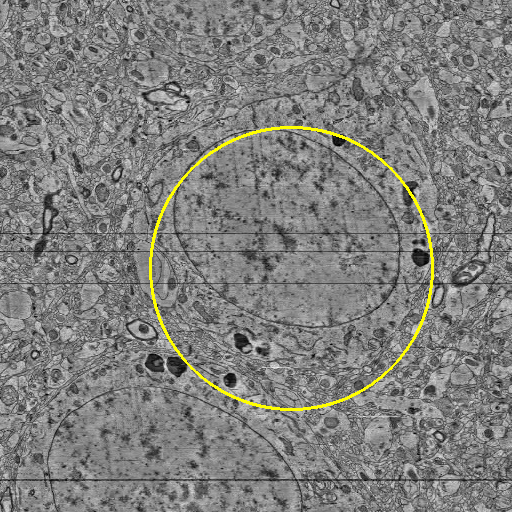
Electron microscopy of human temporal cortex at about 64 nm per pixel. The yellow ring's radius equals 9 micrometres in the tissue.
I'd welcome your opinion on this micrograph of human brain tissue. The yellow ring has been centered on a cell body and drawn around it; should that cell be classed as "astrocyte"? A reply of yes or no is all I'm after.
no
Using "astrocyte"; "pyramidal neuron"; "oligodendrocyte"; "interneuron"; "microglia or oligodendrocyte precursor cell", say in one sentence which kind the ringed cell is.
It is a pyramidal neuron that the ring is centred on.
